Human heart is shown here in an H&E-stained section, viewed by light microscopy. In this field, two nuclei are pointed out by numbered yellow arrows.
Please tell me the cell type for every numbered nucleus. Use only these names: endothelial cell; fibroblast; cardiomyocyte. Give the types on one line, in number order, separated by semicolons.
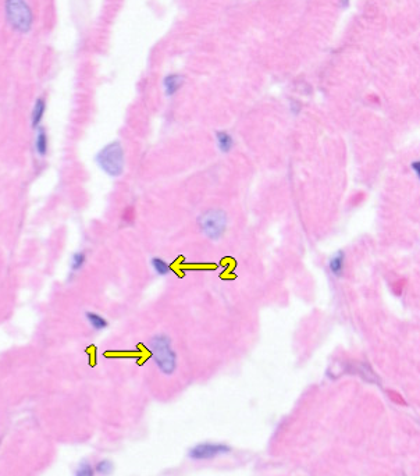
cardiomyocyte; endothelial cell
